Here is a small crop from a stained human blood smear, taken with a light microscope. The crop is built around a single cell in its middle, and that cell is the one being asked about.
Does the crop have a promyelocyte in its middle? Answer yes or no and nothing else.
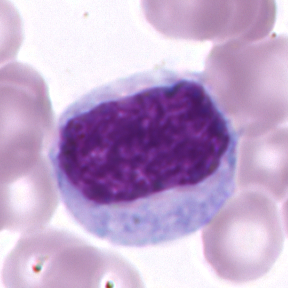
yes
